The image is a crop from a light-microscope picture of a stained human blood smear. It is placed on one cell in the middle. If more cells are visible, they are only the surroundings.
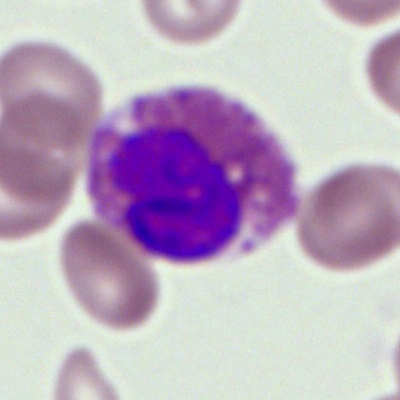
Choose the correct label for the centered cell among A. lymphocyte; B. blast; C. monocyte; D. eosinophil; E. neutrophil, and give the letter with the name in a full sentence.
Of the options given, D is correct, the central cell being an eosinophil.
